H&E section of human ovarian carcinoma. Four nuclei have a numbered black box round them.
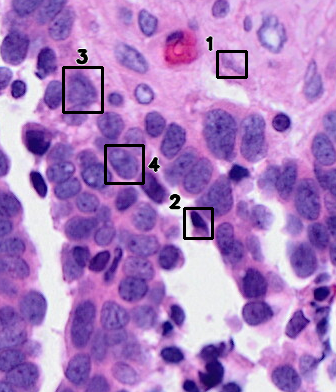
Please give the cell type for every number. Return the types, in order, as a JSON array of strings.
["fibroblast", "carcinoma cell", "carcinoma cell", "carcinoma cell"]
